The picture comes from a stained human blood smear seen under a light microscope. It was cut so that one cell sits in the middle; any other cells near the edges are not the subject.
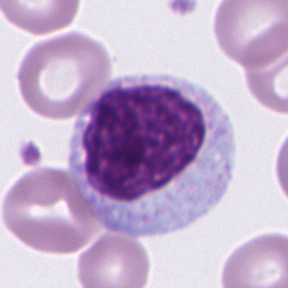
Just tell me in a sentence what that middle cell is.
Classified as a metamyelocyte is the cell in the middle of this crop.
